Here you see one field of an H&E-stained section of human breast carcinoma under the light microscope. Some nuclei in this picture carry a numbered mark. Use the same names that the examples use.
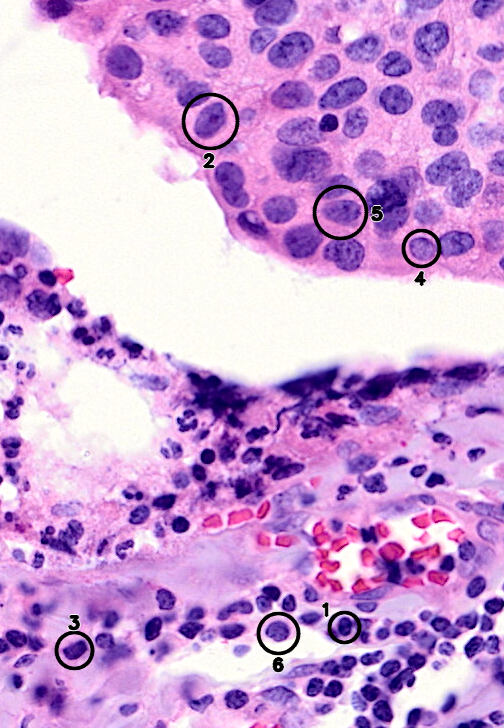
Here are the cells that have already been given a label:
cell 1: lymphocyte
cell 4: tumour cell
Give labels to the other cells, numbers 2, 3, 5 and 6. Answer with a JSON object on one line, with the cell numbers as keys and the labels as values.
{"2": "tumour cell", "3": "lymphocyte", "5": "tumour cell", "6": "lymphocyte"}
